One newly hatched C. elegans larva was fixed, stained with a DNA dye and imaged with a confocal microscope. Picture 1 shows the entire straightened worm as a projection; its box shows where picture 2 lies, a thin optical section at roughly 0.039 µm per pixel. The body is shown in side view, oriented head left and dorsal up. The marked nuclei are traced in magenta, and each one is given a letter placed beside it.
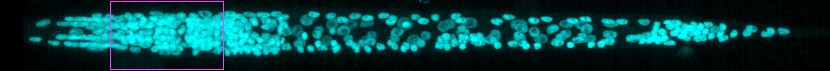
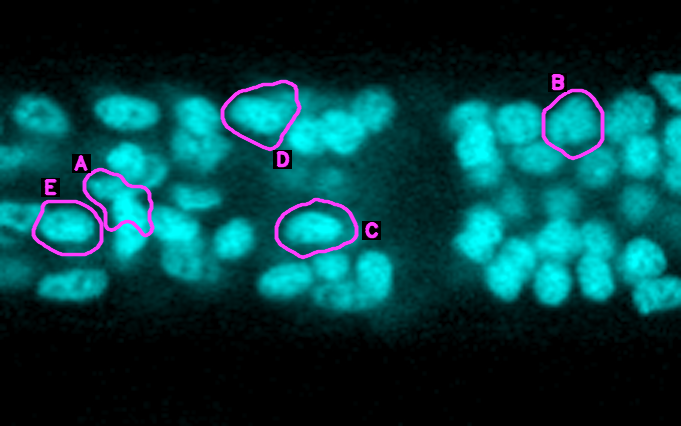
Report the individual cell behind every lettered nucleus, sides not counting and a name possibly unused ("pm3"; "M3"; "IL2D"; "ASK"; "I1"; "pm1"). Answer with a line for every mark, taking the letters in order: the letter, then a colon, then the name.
A: pm1
B: ASK
C: M3
D: IL2D
E: I1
